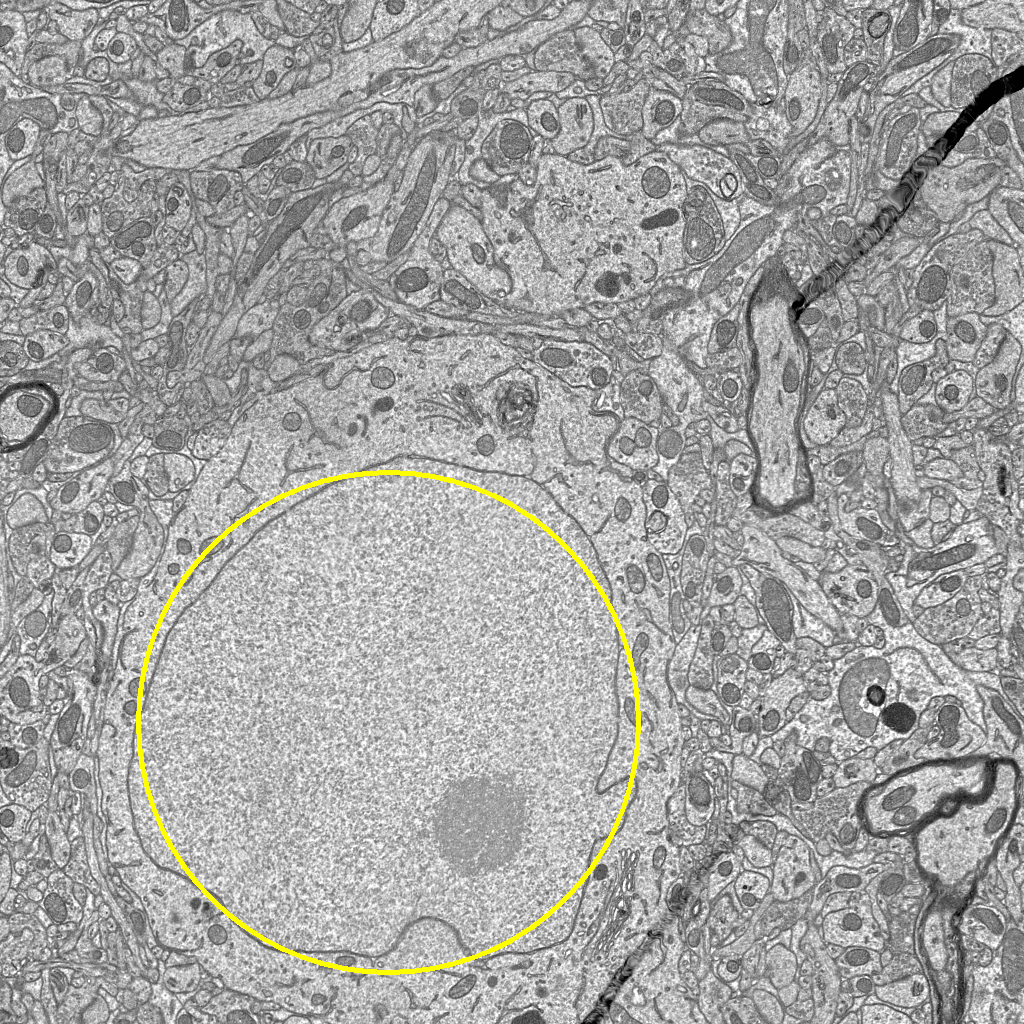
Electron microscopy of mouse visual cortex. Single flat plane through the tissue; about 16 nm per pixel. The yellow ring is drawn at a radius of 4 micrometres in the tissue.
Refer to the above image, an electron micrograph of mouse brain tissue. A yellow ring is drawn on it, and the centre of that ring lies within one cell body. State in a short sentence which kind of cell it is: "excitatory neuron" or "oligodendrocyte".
The centre of the ring falls on an excitatory neuron.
